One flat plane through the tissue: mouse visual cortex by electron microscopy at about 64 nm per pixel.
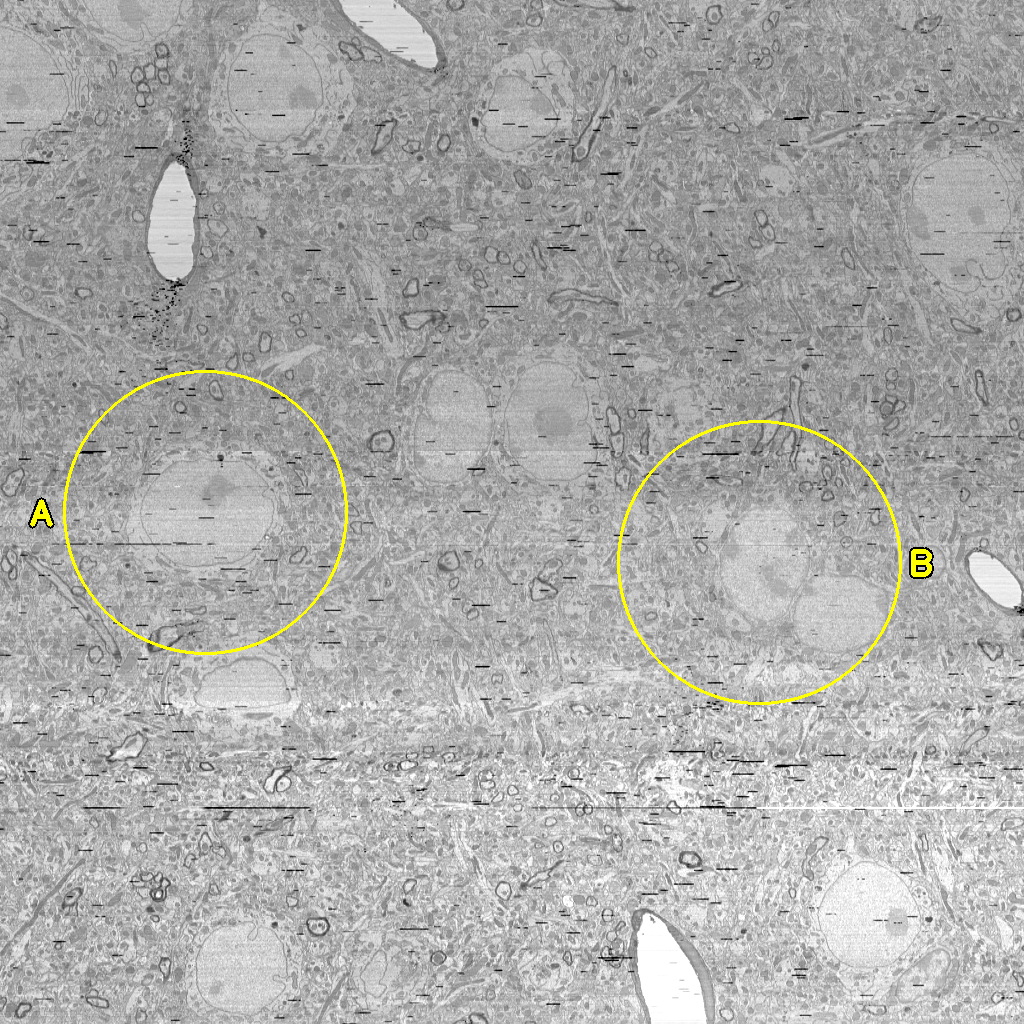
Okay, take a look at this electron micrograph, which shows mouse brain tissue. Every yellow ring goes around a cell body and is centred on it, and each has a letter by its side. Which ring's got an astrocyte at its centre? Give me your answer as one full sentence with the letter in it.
The one you're after is ring B, centred on the cell you asked about.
